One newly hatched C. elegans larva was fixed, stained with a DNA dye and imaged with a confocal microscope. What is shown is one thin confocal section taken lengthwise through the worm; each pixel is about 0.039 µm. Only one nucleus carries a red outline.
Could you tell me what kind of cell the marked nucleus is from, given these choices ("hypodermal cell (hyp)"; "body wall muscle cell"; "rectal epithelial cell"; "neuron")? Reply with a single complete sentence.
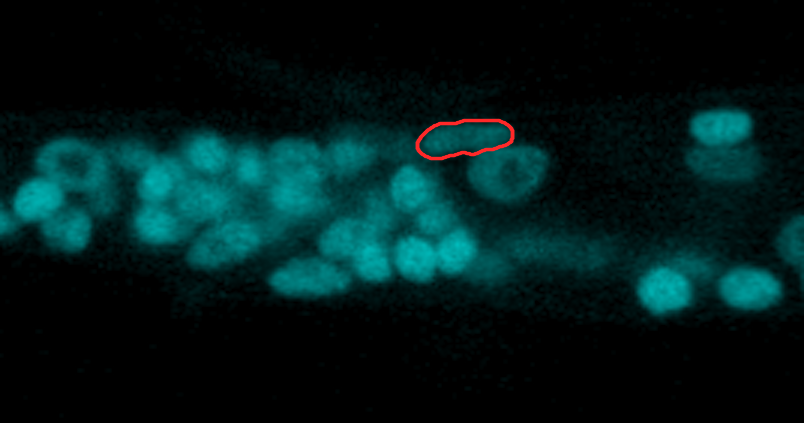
This nucleus is from a body wall muscle cell.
